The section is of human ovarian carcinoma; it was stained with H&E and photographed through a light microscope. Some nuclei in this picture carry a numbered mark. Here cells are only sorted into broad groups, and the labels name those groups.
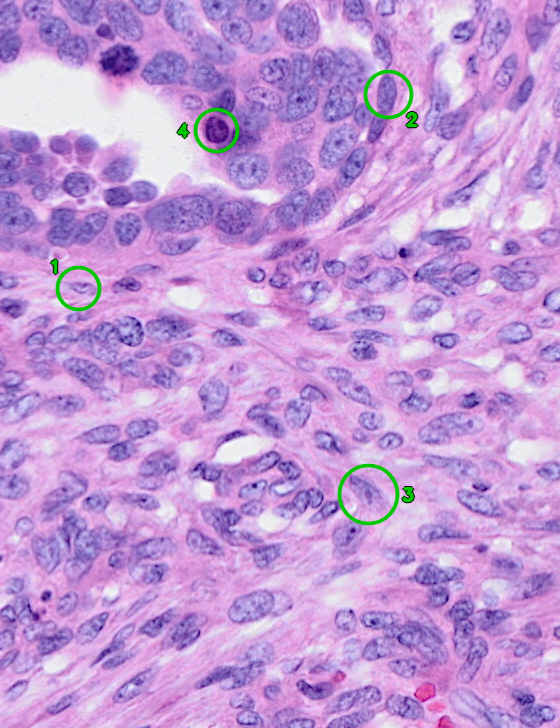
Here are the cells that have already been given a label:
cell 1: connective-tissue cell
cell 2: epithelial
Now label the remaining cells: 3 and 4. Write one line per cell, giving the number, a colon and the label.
3: connective-tissue cell
4: epithelial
